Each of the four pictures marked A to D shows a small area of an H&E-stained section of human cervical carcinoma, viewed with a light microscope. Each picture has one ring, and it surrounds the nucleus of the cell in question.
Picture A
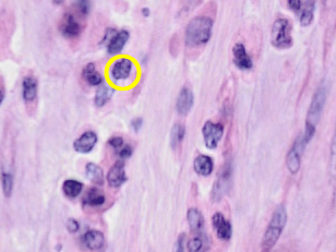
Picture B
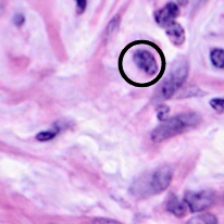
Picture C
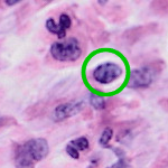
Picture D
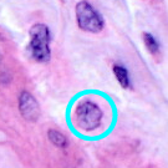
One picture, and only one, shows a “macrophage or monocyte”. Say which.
D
